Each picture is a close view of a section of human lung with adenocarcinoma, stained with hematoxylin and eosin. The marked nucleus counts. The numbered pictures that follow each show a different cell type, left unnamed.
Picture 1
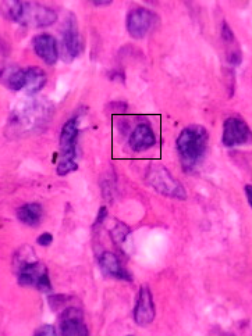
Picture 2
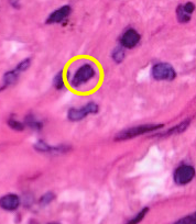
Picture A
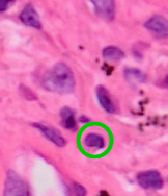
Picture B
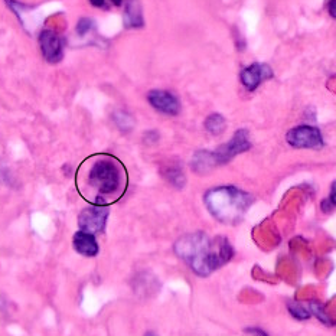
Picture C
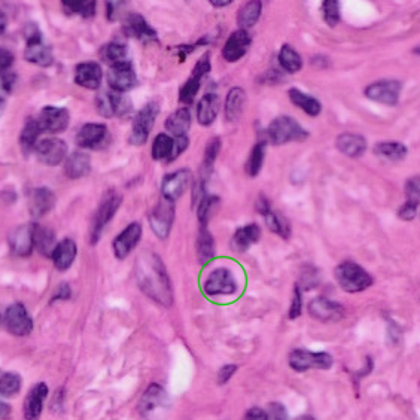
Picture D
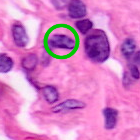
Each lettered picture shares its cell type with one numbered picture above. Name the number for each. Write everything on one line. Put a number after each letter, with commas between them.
A 2, B 1, C 2, D 2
